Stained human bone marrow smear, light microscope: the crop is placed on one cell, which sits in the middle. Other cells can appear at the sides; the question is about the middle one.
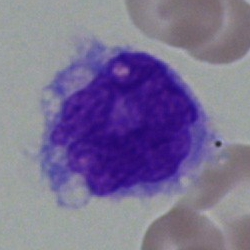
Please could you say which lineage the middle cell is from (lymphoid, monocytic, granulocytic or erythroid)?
monocytic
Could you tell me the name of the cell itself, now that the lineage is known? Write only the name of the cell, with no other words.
monocyte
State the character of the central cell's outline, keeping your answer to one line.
The periphery of this cell is uneven, with ragged portions or projections.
